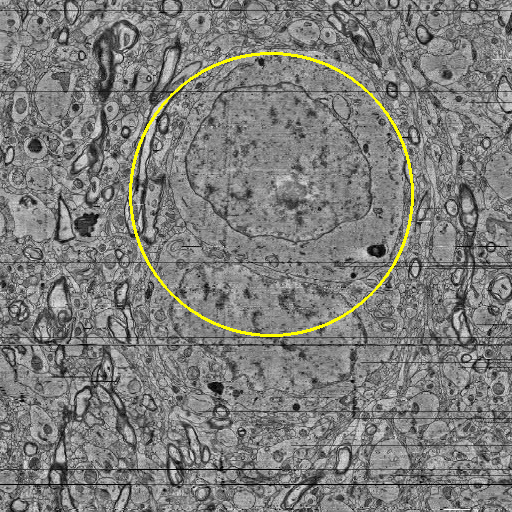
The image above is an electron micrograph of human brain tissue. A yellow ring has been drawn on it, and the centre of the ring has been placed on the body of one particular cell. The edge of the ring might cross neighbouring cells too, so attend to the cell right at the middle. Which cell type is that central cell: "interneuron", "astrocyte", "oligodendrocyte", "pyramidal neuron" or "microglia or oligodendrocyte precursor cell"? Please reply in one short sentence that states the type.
The central cell in the ring is a pyramidal neuron.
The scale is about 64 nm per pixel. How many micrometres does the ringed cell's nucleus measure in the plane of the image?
About 12 by 11 micrometers for the nucleus, in this plane.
